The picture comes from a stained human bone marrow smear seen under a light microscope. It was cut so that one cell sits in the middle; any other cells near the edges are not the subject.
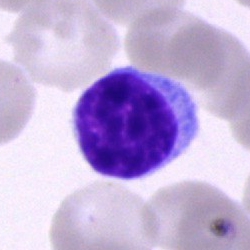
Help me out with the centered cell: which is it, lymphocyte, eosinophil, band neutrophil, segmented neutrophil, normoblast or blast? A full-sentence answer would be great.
The cell around which this crop is centred is a lymphocyte.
